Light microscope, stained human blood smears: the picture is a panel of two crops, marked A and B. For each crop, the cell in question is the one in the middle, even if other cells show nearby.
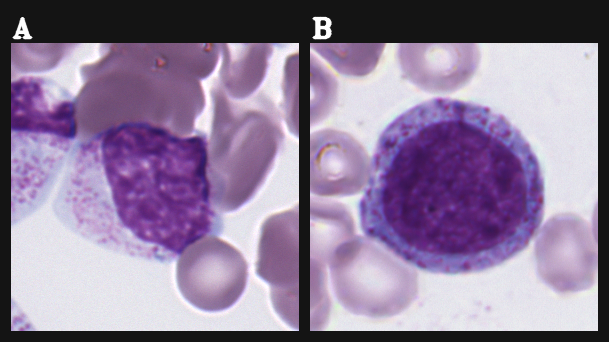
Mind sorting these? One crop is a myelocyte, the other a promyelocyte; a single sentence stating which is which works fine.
In this set, crop A is a myelocyte and crop B is a promyelocyte.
